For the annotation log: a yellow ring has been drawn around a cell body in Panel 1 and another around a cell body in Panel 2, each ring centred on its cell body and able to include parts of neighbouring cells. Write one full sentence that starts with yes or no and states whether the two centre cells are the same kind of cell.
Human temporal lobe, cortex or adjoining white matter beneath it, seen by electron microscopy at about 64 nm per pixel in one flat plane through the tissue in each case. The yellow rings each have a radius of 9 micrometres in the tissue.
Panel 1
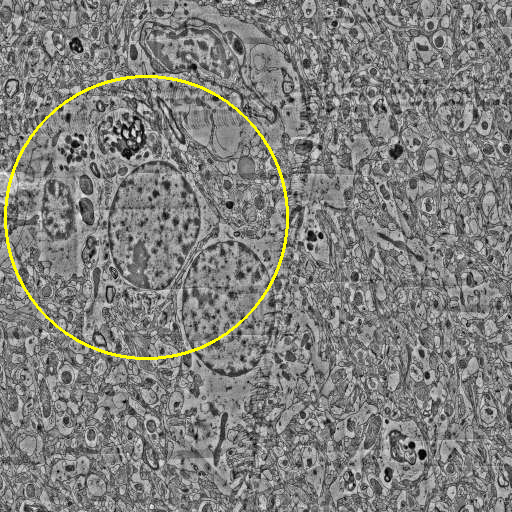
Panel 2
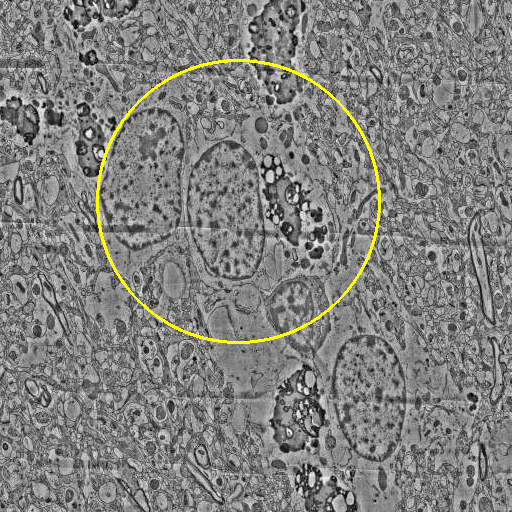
Yes, the two centre cells are the same kind of cell.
